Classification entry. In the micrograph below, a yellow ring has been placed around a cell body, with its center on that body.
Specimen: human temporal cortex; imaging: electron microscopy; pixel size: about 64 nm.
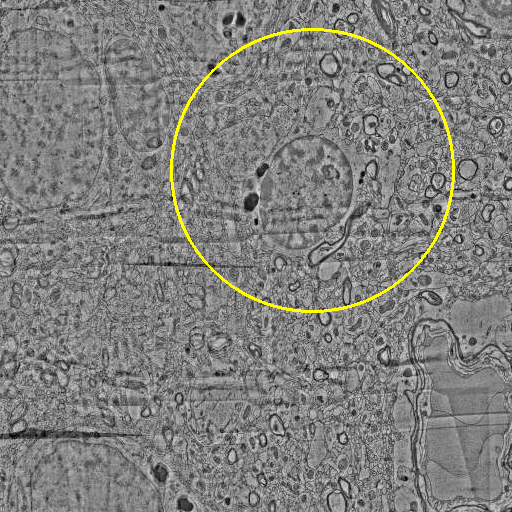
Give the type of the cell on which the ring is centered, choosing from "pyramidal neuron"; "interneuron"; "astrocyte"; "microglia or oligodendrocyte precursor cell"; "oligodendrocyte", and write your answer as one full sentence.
The cell body at the center of the yellow ring belongs to an oligodendrocyte.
